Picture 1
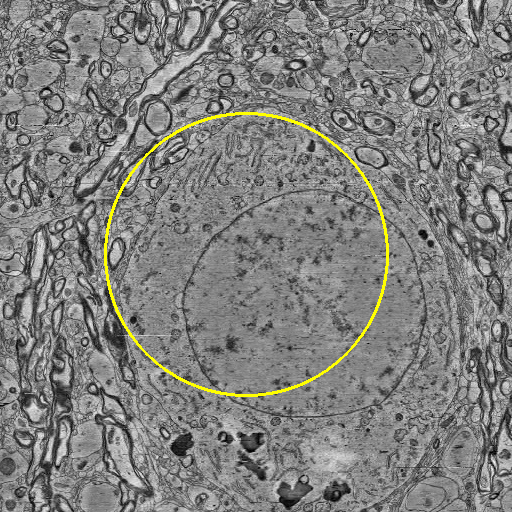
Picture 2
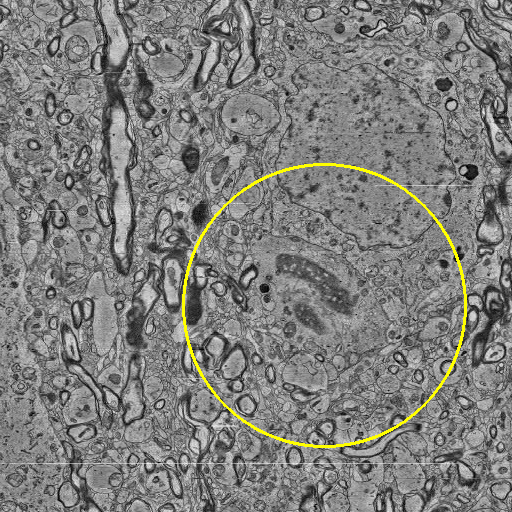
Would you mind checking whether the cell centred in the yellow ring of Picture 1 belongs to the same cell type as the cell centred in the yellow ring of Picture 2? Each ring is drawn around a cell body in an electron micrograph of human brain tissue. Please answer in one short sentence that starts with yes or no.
No, the two cells are of two types.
